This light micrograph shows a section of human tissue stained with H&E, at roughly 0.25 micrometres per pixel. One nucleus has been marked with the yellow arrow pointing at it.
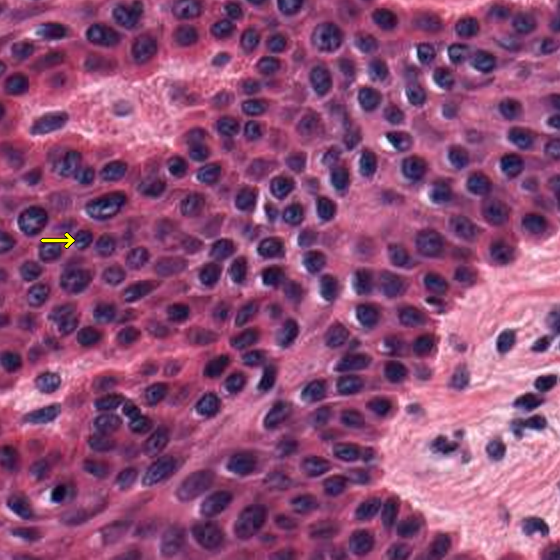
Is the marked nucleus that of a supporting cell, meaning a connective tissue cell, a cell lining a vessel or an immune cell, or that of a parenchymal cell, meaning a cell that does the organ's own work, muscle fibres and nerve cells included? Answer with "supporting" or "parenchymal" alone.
parenchymal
